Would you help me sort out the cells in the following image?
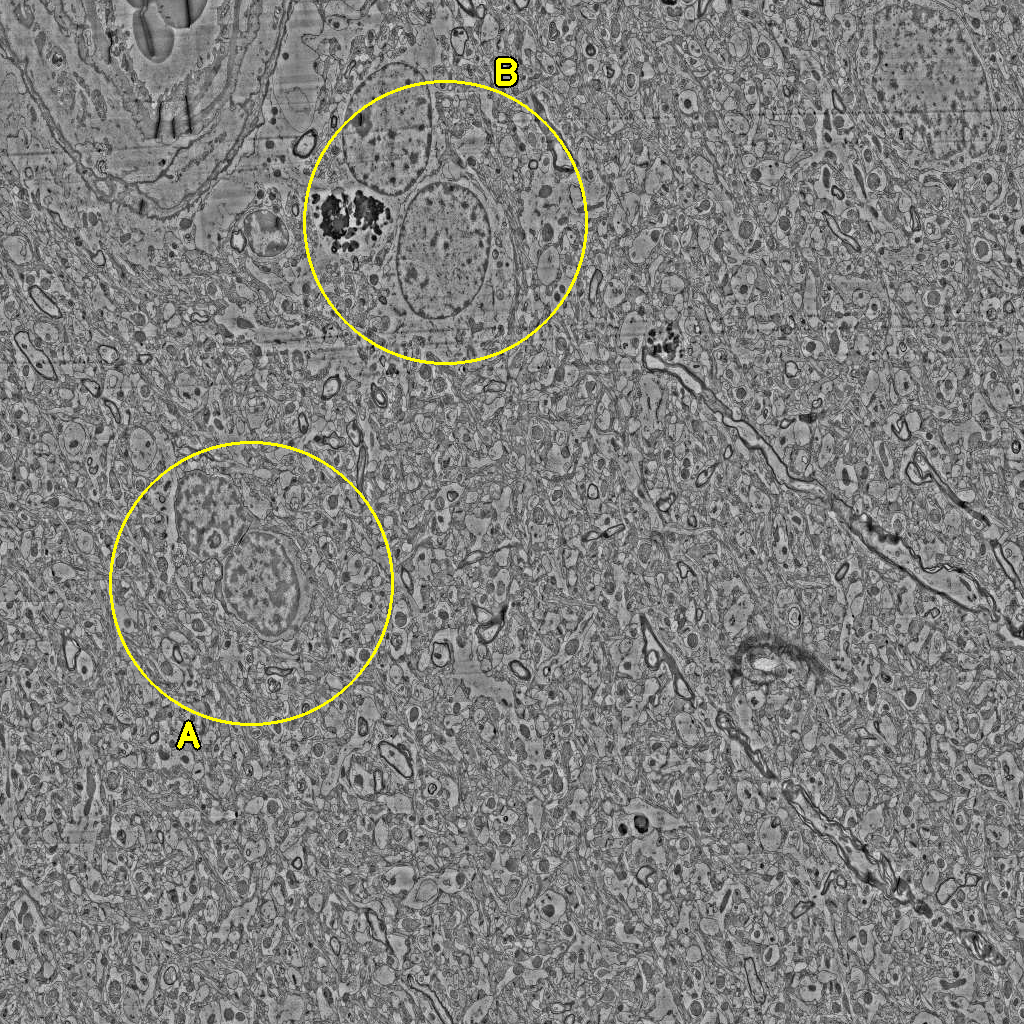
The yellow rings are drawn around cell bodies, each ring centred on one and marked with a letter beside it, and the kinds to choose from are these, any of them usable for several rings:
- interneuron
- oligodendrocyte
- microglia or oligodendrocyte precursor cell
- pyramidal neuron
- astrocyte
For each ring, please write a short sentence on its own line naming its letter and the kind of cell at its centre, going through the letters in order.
Ring A is centred on the cell body of an oligodendrocyte.
Ring B is centred on the cell body of an astrocyte.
